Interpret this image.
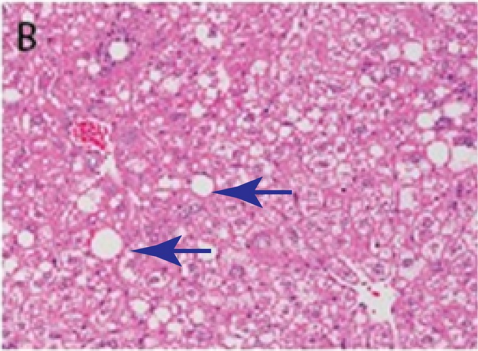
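This is a section of liver showing hepatocytes with pink cytoplasm and round, purple-blue nuclei. Scattered through the tissue are many round, sharply bounded, clear vacuoles of differing size, consistent with lipid droplets. Many hepatocytes also look pale and finely vacuolated rather than evenly pink. A small vessel containing red blood cells lies toward the left of the field, and a narrow sinusoidal space is seen at the lower right. The regular plate arrangement of the cells is partly obscured by the vacuolation.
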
